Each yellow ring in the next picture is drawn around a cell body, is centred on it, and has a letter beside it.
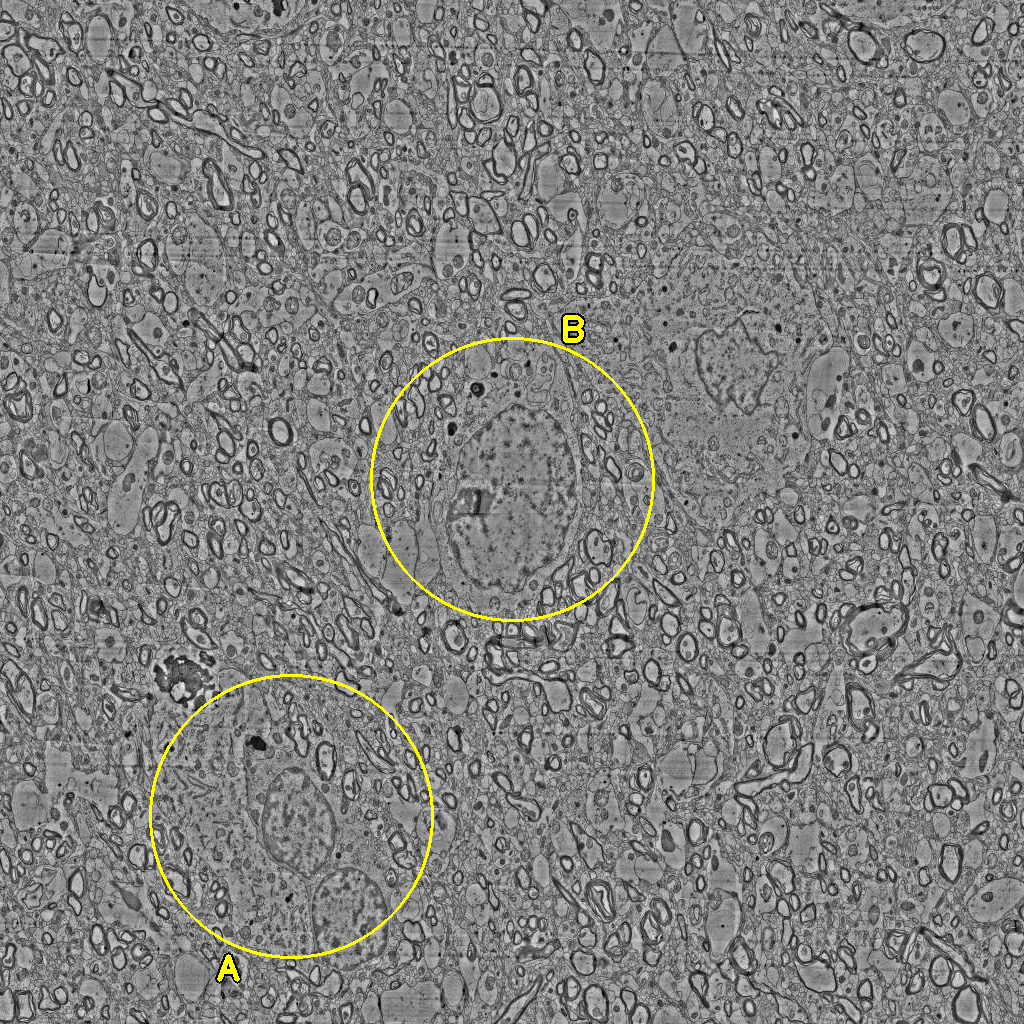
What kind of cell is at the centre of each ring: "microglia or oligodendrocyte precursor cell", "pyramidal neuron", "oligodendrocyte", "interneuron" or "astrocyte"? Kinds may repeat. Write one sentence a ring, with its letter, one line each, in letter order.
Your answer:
The centre of ring A falls on an oligodendrocyte.
The centre of ring B falls on an interneuron.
